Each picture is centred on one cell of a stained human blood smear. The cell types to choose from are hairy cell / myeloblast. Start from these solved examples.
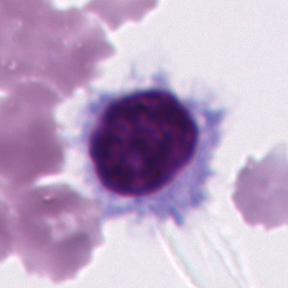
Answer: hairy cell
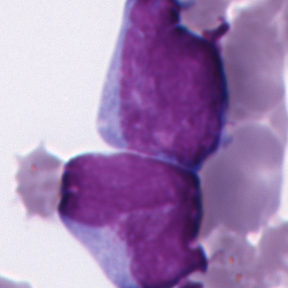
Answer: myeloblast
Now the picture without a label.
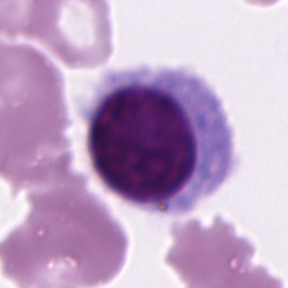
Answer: hairy cell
